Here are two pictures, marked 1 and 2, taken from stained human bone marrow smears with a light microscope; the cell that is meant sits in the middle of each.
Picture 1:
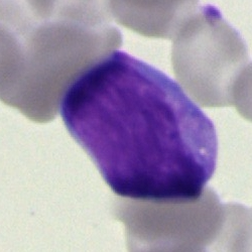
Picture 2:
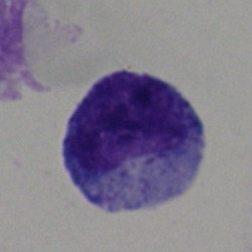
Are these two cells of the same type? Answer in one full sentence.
No, the types are not the same, since picture 1 shows a blast and picture 2 a promyelocyte.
